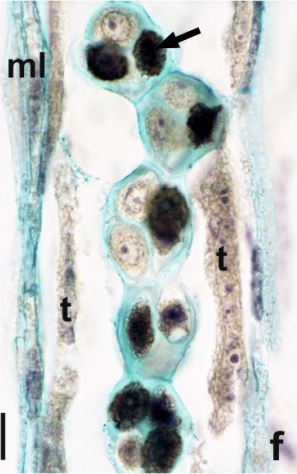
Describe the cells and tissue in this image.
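Some microspores are pale with a clear round nucleus and nucleolus, while others are shrunken and stained densely dark brown to black, showing degeneration. The tetrads lie in a row in the middle of the locule. Along the sides run elongated tapetum cells with visible nuclei, and outside them the thin, stretched cells of the middle layer stained blue-green.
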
